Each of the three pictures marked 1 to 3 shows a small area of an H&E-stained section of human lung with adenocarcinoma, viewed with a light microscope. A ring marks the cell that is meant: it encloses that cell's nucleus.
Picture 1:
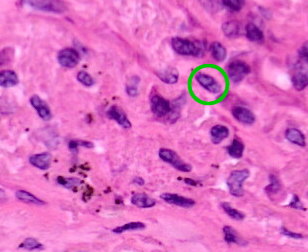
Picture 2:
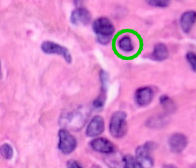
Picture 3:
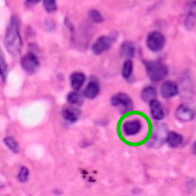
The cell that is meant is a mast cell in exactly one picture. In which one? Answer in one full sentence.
The cell in picture 1 is the mast cell.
